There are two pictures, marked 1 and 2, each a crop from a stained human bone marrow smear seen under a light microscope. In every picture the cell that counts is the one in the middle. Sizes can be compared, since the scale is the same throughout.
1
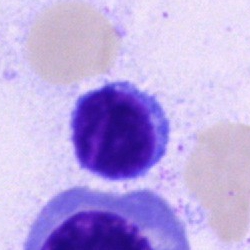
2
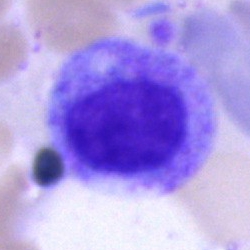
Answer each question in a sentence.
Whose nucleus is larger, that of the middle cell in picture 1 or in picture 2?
The nucleus in picture 2 is larger, with about 1.5 times the area of the one in picture 1.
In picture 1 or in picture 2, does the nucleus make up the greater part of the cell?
Of the two, the nucleus in picture 1 makes up the greater part of its cell.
